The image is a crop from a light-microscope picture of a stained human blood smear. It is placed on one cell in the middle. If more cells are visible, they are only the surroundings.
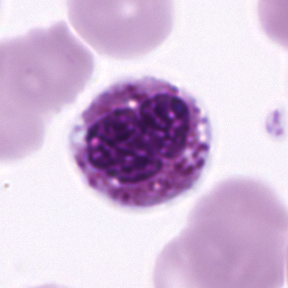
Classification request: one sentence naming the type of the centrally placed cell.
Looking at the middle of the crop, the cell there is an eosinophil.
